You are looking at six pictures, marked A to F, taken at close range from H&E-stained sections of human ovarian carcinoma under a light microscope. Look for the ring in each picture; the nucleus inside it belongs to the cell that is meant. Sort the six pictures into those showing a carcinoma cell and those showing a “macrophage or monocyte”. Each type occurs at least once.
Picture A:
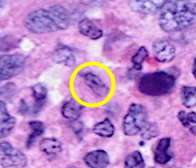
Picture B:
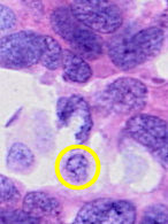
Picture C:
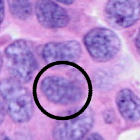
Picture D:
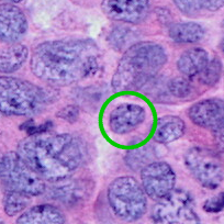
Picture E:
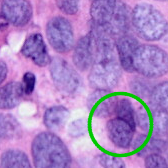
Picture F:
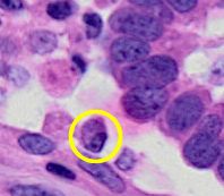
A: macrophage or monocyte
B: macrophage or monocyte
C: carcinoma cell
D: macrophage or monocyte
E: carcinoma cell
F: macrophage or monocyte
